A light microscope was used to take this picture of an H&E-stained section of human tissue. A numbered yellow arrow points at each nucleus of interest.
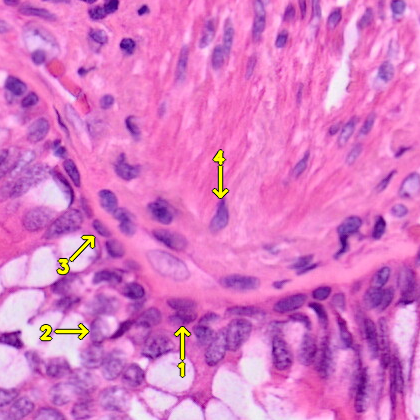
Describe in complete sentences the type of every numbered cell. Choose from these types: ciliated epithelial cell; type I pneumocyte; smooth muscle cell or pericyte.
Cells 1, 2 and 3 are ciliated epithelial cells. Cell 4 is a smooth muscle cell or pericyte.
